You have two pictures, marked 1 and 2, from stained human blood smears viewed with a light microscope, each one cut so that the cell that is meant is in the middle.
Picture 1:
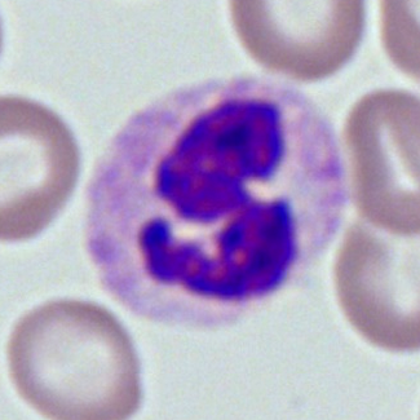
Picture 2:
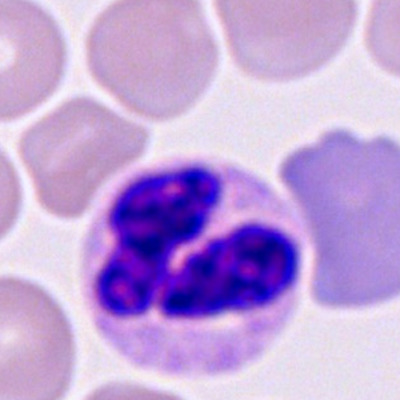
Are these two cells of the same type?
yes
